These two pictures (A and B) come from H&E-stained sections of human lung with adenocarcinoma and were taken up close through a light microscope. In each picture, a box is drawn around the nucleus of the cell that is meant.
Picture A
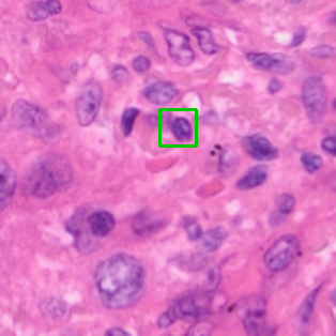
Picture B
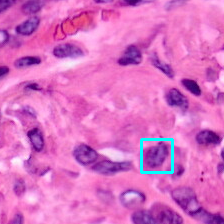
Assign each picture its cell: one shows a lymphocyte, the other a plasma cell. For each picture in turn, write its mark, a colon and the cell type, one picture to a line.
A: lymphocyte
B: plasma cell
